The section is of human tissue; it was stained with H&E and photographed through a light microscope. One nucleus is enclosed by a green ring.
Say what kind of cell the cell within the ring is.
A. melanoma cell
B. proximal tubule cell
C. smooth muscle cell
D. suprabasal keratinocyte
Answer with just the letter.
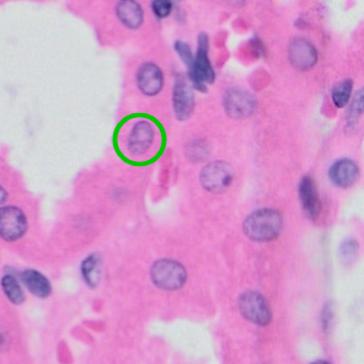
B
